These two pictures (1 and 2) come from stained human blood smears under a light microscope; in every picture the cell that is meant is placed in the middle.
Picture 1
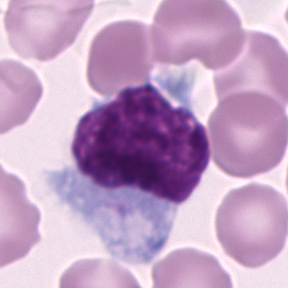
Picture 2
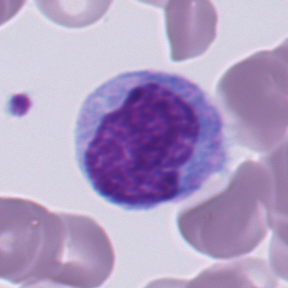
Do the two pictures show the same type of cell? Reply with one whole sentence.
No, picture 1 shows a hairy cell and picture 2 shows a monocyte.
